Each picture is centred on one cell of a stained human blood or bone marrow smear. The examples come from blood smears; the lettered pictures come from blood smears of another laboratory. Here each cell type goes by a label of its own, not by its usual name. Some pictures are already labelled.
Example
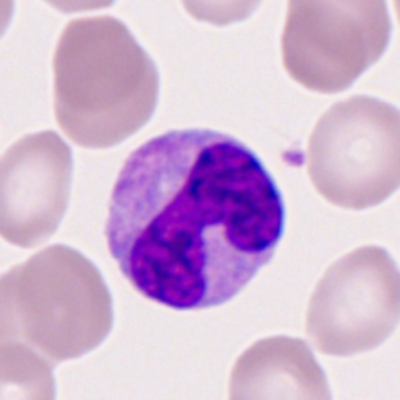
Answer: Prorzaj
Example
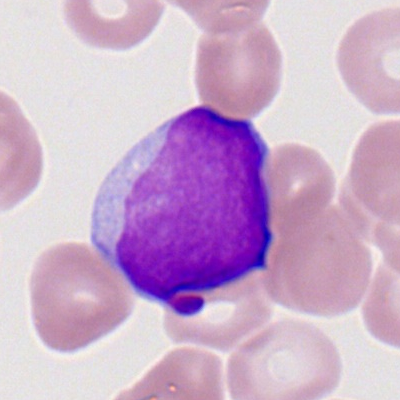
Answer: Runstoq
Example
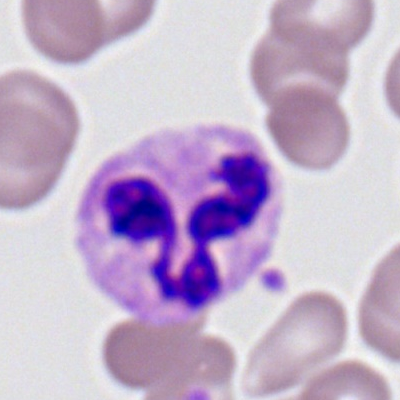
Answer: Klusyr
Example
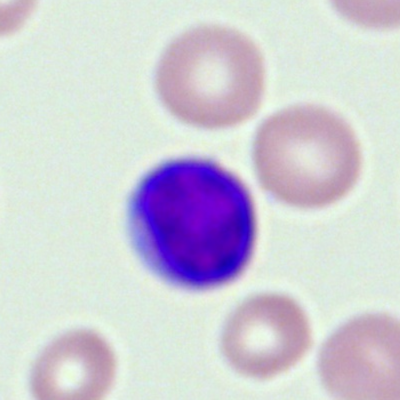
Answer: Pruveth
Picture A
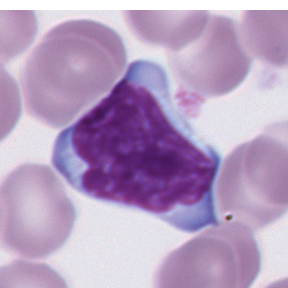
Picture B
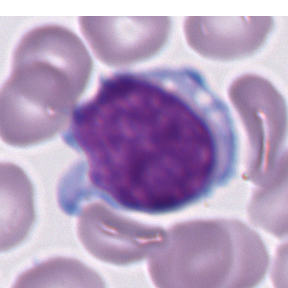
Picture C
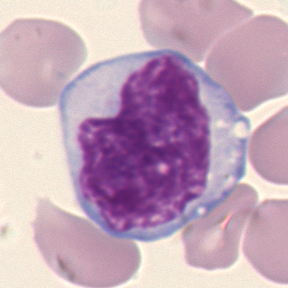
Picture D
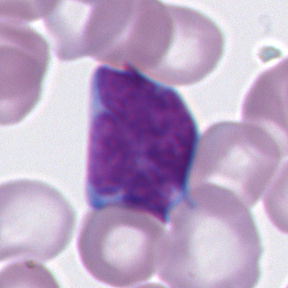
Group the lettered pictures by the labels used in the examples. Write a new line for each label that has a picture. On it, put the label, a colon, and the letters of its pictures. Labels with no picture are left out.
Runstoq: B, C, D
Pruveth: A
